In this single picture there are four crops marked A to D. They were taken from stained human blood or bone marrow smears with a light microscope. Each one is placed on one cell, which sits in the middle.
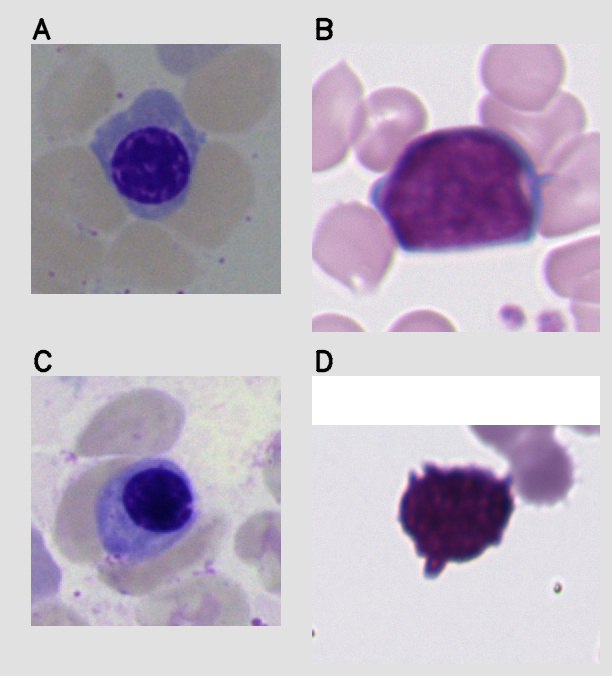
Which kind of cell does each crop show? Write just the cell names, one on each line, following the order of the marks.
erythroblast
blast
erythroblast
blast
